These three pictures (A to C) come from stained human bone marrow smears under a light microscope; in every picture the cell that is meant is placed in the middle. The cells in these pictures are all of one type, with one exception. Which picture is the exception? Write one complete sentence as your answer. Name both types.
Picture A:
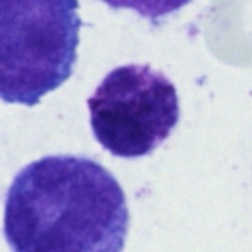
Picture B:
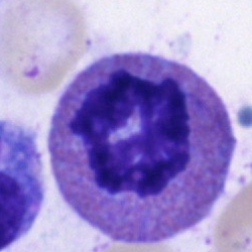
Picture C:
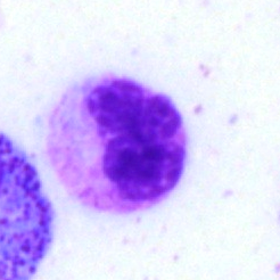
The different one is picture B; it shows an eosinophil, whereas all the others show basophils.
